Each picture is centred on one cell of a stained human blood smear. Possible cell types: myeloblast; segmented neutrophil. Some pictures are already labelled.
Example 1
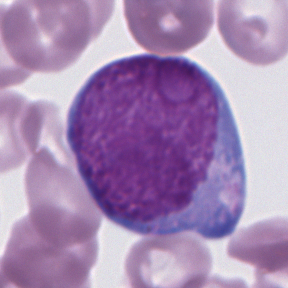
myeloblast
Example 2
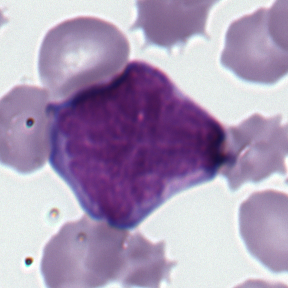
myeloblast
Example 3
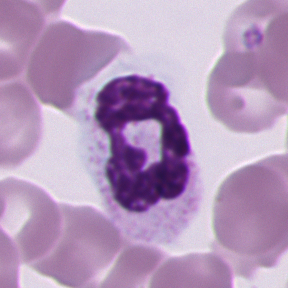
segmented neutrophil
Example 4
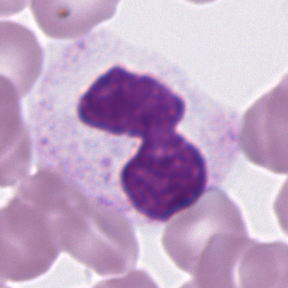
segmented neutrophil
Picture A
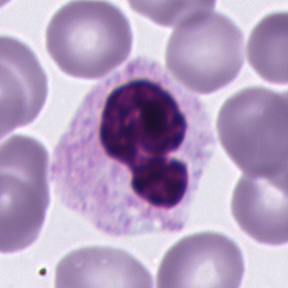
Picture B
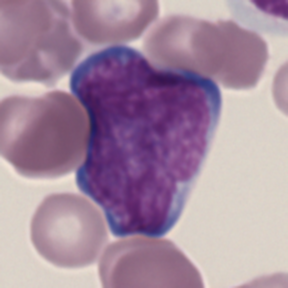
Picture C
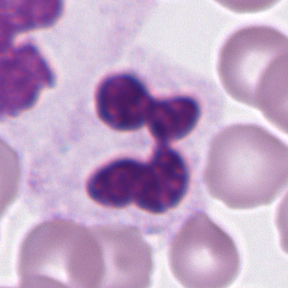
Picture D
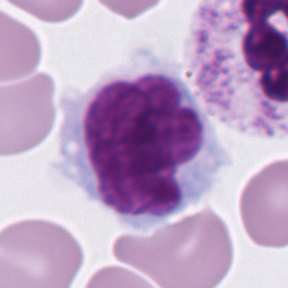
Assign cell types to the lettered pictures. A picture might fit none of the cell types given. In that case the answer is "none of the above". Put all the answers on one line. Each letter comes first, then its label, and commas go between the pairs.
A segmented neutrophil, B myeloblast, C segmented neutrophil, D none of the above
